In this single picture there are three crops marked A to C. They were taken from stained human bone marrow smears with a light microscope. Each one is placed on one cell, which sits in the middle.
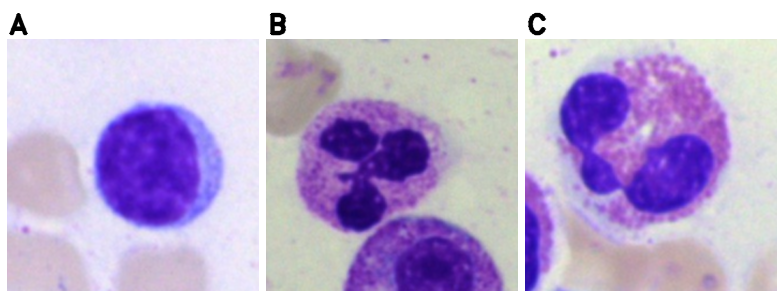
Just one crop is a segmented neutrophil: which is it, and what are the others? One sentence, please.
On the one hand crop B shows a segmented neutrophil; on the other, crop A is a lymphocyte and crop C is an eosinophil.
